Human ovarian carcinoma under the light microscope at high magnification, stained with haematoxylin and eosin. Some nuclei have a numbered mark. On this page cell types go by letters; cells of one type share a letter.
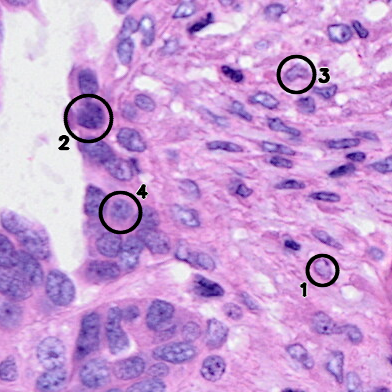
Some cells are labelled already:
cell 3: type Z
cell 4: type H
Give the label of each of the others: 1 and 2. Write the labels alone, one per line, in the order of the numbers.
type Z
type H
